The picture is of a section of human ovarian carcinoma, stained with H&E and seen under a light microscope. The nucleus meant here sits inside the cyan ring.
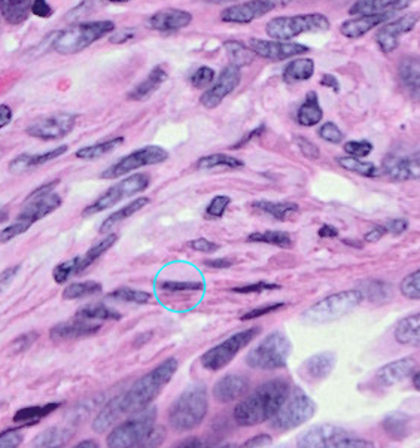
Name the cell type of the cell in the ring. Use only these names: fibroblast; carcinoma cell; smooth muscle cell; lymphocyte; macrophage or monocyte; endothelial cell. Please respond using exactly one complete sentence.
The expected answer is simply that the cell in the ring is a fibroblast.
